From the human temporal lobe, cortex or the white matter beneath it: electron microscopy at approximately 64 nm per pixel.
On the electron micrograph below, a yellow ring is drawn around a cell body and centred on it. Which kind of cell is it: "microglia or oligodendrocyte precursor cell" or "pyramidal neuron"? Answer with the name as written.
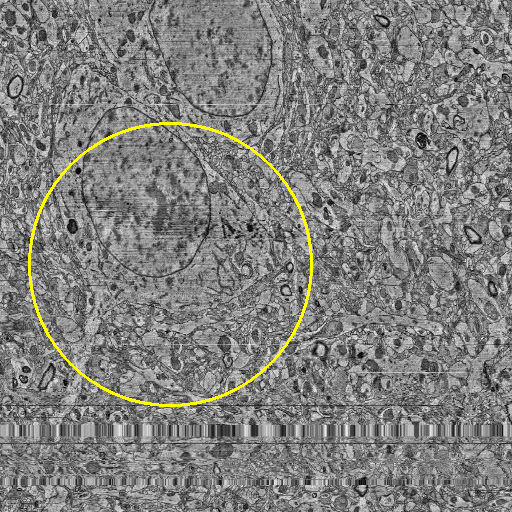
pyramidal neuron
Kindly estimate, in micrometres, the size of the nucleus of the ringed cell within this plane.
In this plane, about 12 micrometres in length and 8 in width.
